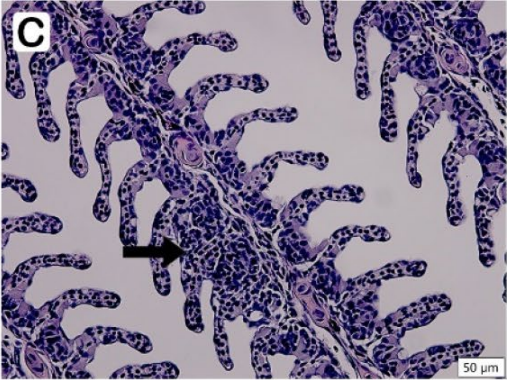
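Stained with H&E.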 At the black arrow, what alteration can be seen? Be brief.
Epithelial hyperplasia.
